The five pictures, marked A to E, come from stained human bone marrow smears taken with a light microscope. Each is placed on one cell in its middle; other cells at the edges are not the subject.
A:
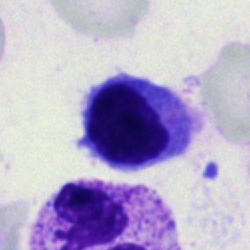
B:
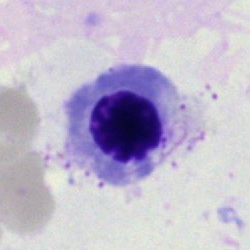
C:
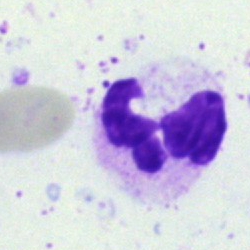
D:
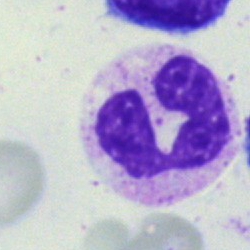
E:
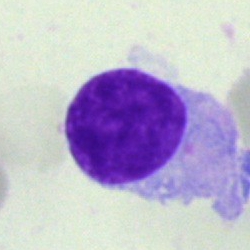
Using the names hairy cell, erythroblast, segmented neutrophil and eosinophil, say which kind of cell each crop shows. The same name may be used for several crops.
A: erythroblast
B: erythroblast
C: segmented neutrophil
D: segmented neutrophil
E: hairy cell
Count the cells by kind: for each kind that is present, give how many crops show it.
erythroblast: 2
segmented neutrophil: 2
hairy cell: 1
